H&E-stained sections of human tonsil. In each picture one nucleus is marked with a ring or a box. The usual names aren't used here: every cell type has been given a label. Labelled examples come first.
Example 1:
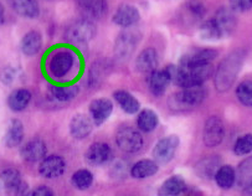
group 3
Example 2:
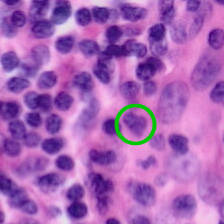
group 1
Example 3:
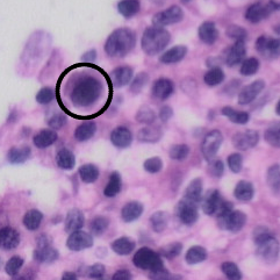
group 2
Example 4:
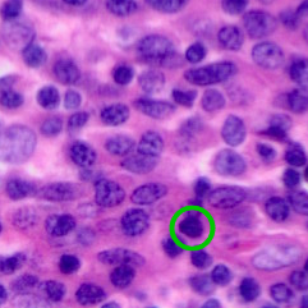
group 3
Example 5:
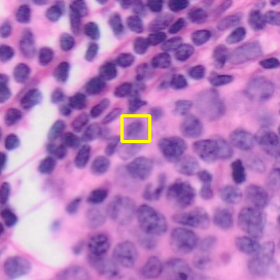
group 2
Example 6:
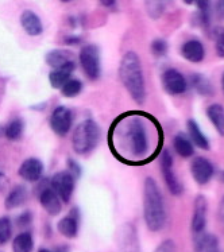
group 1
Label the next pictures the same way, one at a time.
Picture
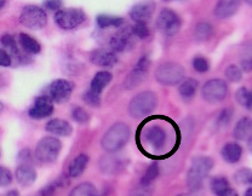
group 1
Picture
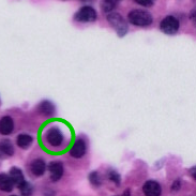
group 3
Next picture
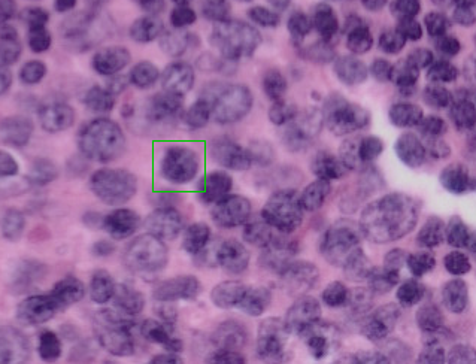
group 2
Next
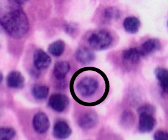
group 3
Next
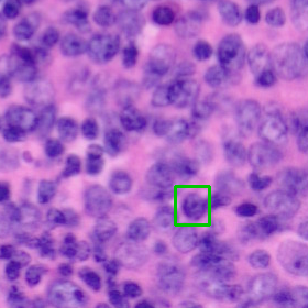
group 2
